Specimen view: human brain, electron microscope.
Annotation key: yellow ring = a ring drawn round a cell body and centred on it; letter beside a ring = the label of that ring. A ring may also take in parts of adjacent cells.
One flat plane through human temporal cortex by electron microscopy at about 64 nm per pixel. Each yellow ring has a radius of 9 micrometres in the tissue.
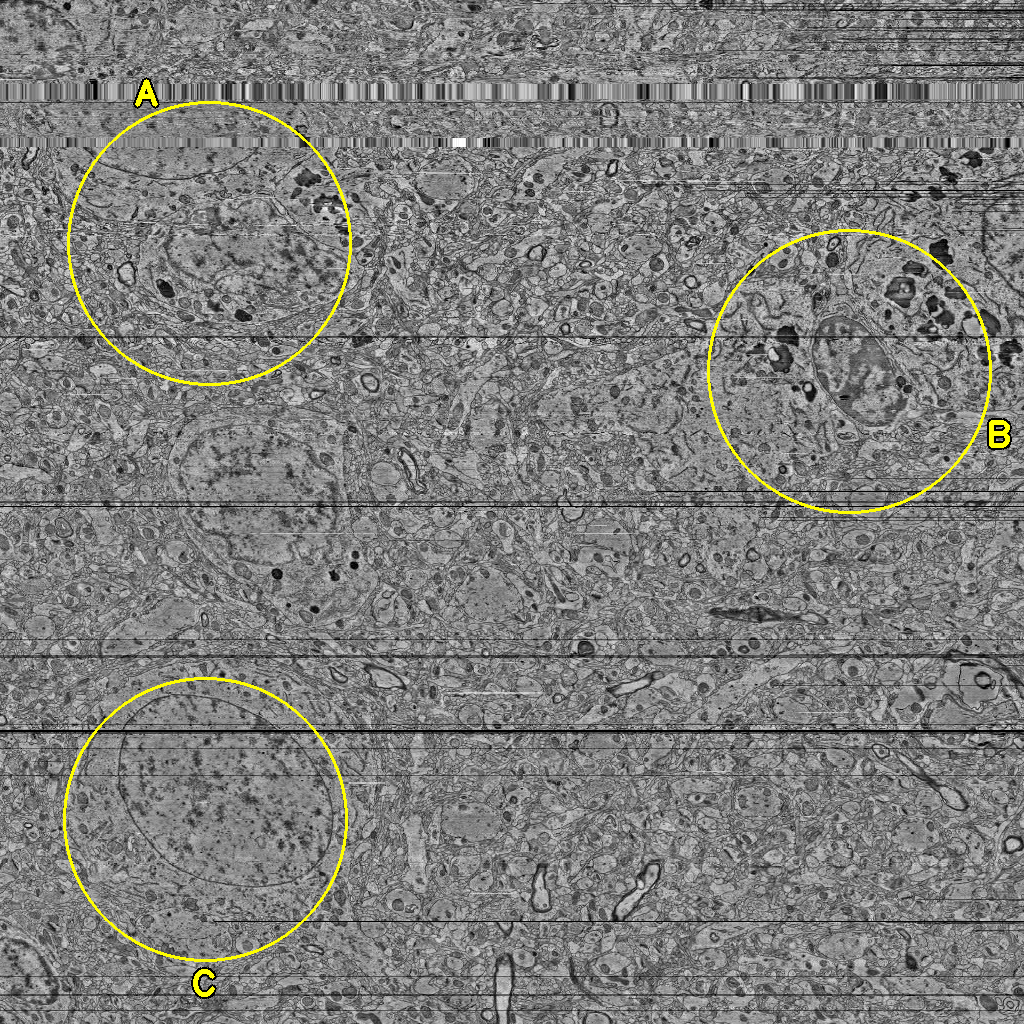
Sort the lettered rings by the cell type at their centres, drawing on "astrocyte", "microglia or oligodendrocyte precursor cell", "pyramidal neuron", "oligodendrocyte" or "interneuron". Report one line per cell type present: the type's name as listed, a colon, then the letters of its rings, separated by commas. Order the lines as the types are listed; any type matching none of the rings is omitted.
microglia or oligodendrocyte precursor cell: B
pyramidal neuron: C
interneuron: A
